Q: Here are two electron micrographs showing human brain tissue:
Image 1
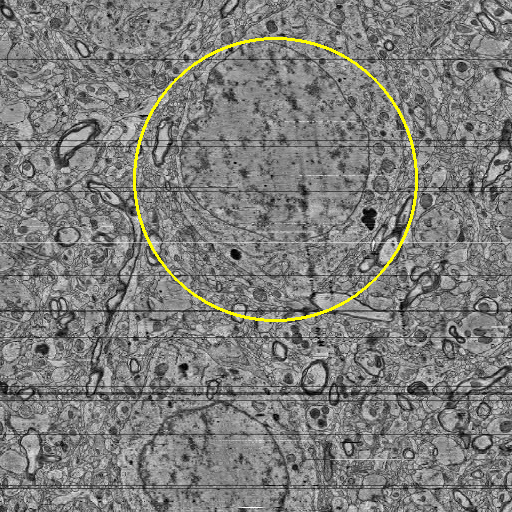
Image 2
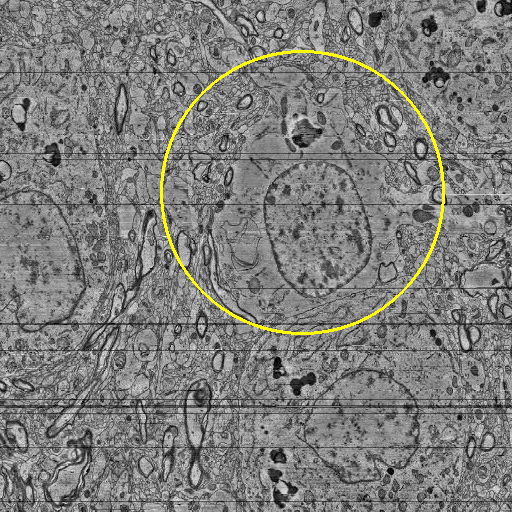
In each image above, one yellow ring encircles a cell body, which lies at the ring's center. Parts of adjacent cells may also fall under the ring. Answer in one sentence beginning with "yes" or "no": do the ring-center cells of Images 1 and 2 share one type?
No, in Images 1 and 2, the ring-center cells are of two types.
